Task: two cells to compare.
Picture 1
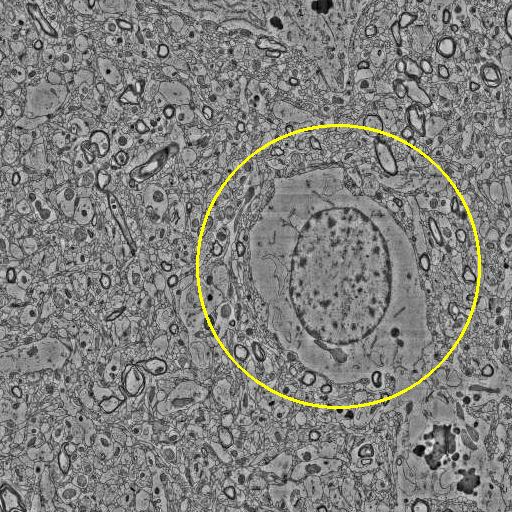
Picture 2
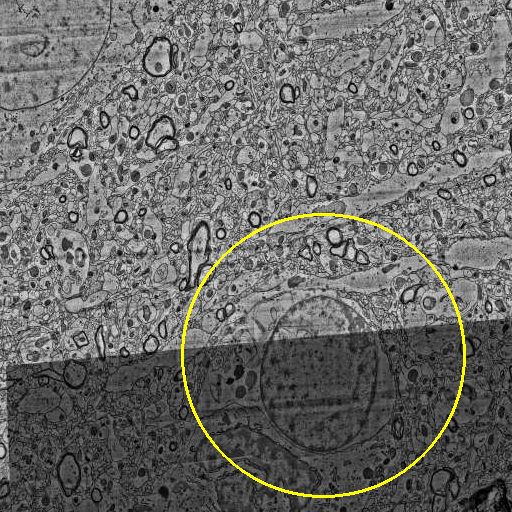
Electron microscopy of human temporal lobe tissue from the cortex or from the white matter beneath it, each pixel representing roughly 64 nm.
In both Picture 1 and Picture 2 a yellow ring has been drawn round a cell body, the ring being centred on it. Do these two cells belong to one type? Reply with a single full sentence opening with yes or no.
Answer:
Yes, the two cells at the ring centres in Picture 1 and Picture 2 share one type.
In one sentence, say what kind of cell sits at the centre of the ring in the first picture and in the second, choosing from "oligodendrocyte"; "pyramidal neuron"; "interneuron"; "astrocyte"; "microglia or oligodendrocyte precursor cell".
Each of the two cells is an astrocyte.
